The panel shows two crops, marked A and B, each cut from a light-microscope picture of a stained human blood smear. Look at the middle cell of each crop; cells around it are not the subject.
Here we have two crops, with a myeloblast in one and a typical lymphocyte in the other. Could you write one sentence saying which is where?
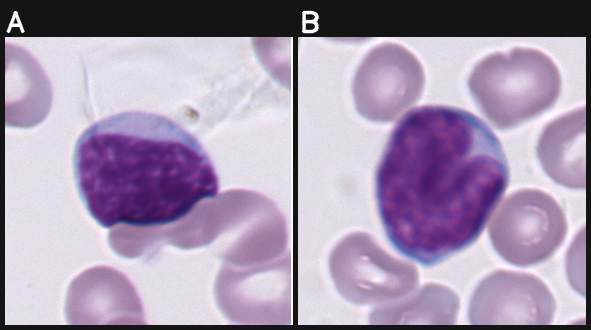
The cell of crop A is a typical lymphocyte; that of crop B is a myeloblast.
